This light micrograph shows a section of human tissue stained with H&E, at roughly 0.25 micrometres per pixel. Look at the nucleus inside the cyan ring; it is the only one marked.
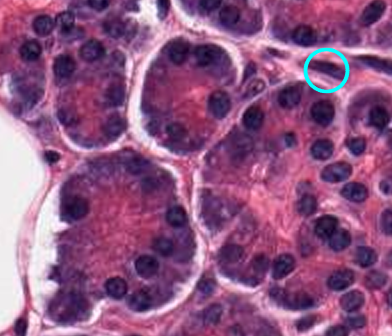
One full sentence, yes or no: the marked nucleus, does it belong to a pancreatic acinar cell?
No, the marked nucleus is not from a pancreatic acinar cell; a supporting cell is its source.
